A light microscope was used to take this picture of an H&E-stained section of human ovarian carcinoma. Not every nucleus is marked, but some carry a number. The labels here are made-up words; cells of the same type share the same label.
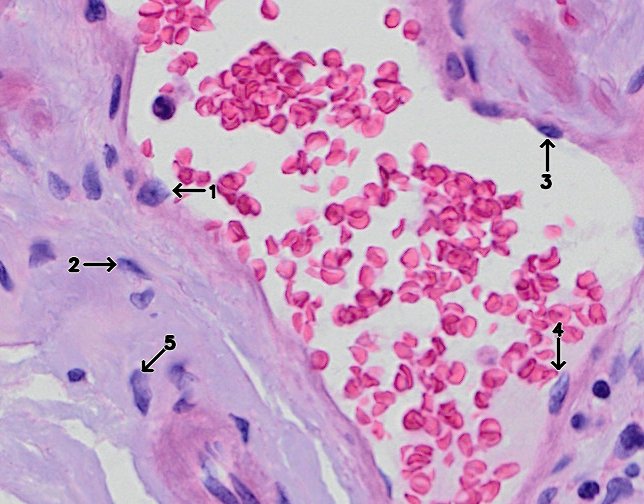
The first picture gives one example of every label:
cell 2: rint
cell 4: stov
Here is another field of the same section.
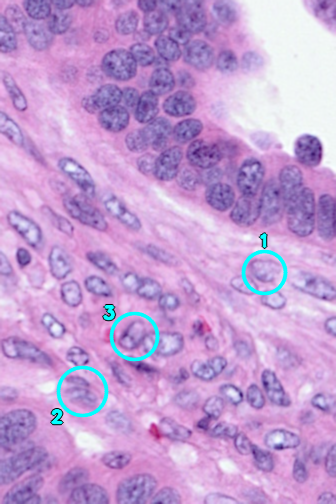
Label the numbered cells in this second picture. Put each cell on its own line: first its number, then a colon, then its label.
1: rint
2: rint
3: stov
